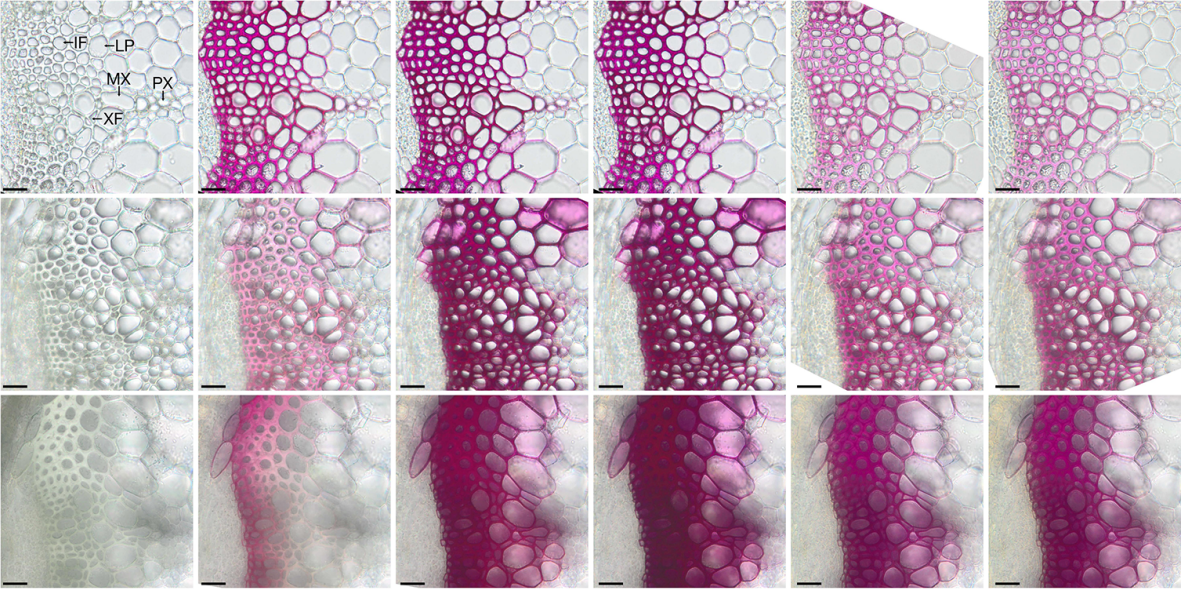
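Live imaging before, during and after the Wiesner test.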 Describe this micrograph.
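These are transverse sections through a plant stem, showing the vascular region. Wide vessels with open lumina lie among the smaller fibres. Large, thin-walled, rounded parenchyma cells on one side stay largely pale.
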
